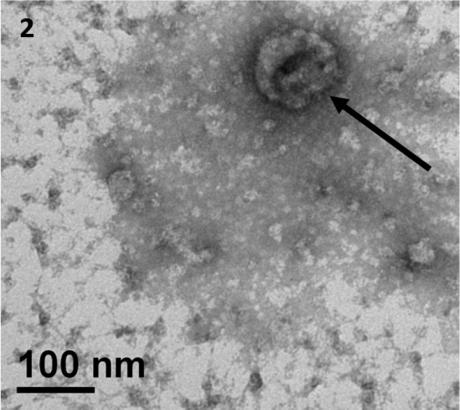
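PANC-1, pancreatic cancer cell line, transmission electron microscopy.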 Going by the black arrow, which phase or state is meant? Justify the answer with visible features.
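A single round vesicle near the top has a dark rim. Its centre appears indented and folded, like a cup. That points to this answer: cup-shaped morphology.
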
